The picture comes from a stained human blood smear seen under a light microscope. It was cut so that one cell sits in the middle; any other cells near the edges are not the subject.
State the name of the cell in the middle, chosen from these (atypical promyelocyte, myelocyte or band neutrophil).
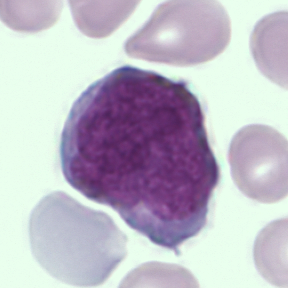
atypical promyelocyte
